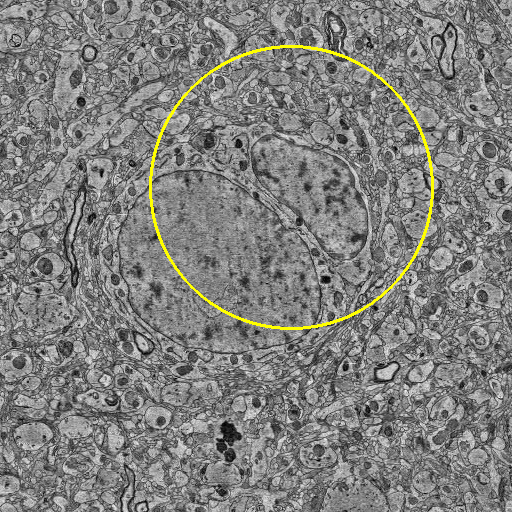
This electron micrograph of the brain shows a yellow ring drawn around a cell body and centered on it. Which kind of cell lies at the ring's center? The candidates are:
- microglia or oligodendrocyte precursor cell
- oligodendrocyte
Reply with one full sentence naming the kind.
The cell lying at the ring's center in this micrograph is a microglial cell or oligodendrocyte precursor cell.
